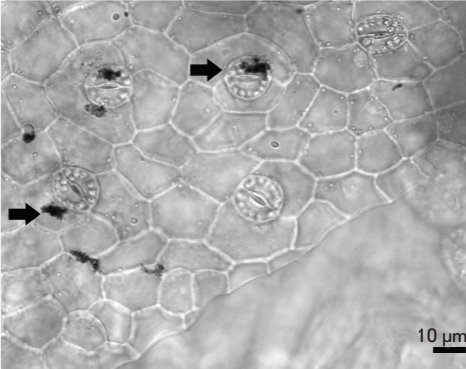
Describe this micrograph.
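This is a sheet of leaf epidermis made of polygonal epidermal cells with thin, clear walls, among which lie several stomata. Each stoma consists of two bean-shaped guard cells enclosing a narrow slit-like pore. Small dark granular deposits lie on some of the guard cells and along a few epidermal cell borders.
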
